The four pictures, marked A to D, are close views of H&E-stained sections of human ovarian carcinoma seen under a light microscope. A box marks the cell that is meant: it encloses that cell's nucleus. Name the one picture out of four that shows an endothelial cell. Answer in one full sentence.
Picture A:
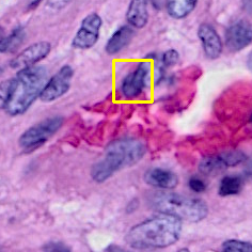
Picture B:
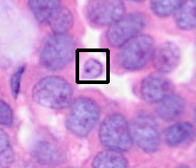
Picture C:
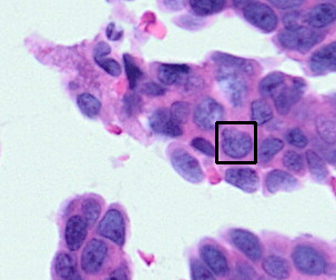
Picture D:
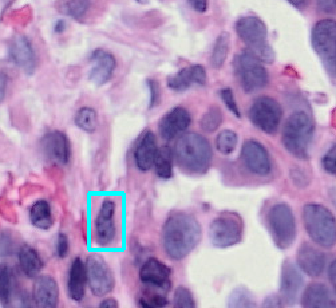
Picture A shows the endothelial cell.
